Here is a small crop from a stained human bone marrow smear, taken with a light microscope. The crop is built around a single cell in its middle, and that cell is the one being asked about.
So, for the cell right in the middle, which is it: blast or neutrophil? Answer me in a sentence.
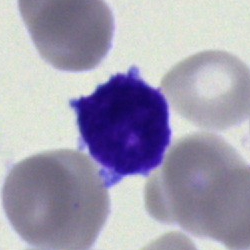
The cell found in the middle of this crop is a blast.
